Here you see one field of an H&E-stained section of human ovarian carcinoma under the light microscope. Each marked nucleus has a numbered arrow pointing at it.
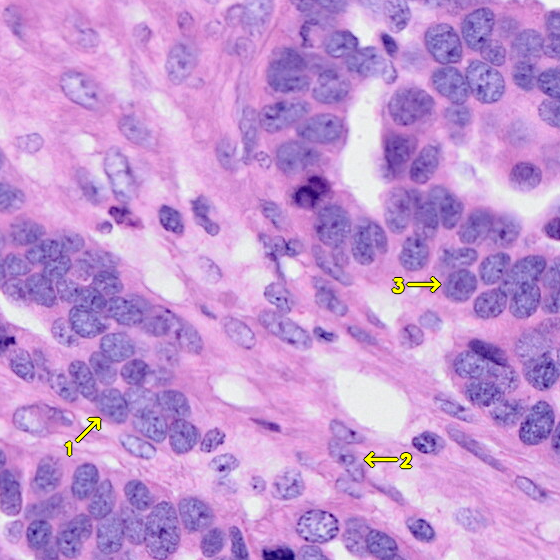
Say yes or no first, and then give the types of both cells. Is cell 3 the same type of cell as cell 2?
No, cell 3 is a carcinoma cell and cell 2 is a fibroblast.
